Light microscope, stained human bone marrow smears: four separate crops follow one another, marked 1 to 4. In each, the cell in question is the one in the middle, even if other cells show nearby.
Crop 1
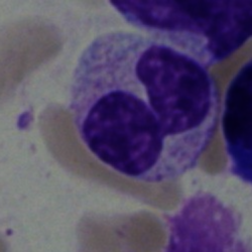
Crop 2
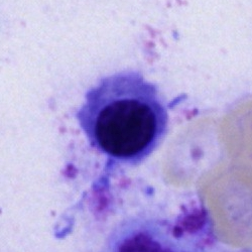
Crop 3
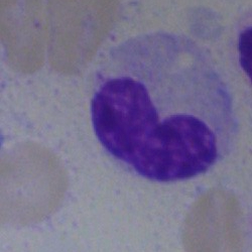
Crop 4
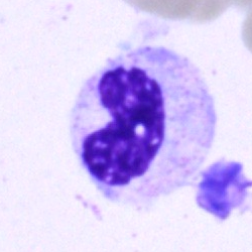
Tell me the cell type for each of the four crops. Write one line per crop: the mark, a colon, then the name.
1: segmented neutrophil
2: erythroblast
3: band neutrophil
4: band neutrophil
